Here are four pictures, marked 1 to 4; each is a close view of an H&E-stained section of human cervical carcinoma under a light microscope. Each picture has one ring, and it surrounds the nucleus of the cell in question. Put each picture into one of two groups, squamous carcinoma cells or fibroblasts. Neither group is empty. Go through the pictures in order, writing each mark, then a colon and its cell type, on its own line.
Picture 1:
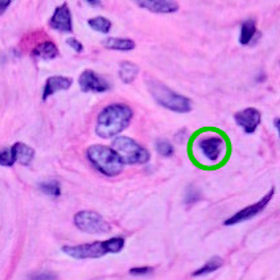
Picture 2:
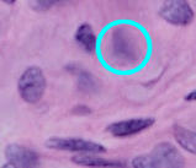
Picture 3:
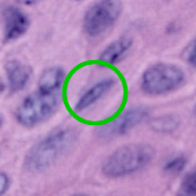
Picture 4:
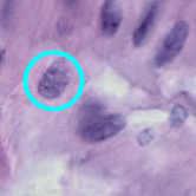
1: fibroblast
2: fibroblast
3: squamous carcinoma cell
4: fibroblast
